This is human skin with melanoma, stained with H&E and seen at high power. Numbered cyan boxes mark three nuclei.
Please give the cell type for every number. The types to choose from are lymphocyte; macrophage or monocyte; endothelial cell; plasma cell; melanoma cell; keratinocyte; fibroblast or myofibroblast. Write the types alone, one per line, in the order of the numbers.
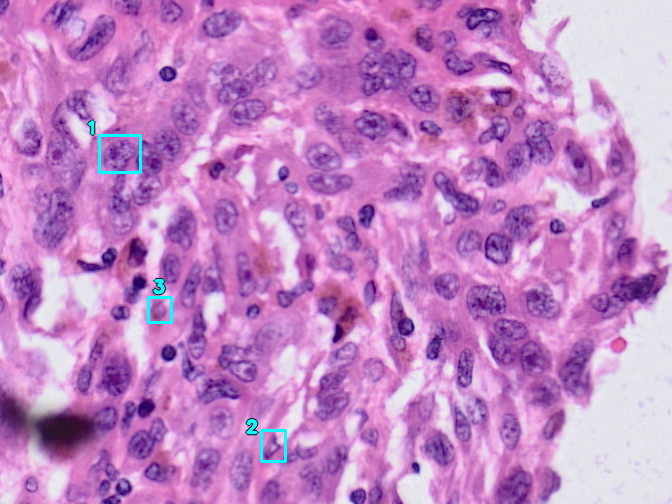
melanoma cell
endothelial cell
macrophage or monocyte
